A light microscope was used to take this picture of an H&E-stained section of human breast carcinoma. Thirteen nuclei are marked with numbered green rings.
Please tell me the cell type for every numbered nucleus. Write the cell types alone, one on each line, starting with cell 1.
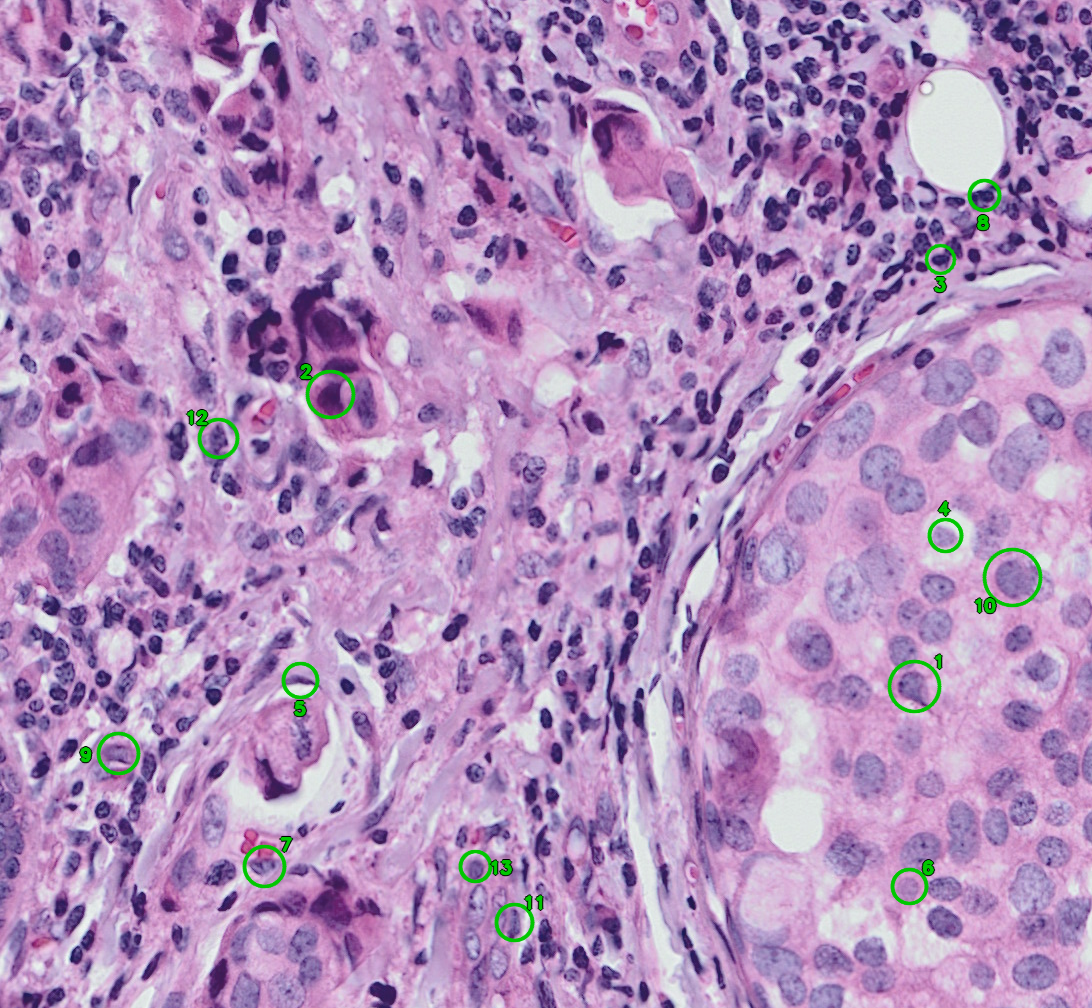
carcinoma cell
carcinoma cell
lymphocyte
carcinoma cell
fibroblast
carcinoma cell
endothelial cell
lymphocyte
endothelial cell
carcinoma cell
endothelial cell
lymphocyte
endothelial cell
